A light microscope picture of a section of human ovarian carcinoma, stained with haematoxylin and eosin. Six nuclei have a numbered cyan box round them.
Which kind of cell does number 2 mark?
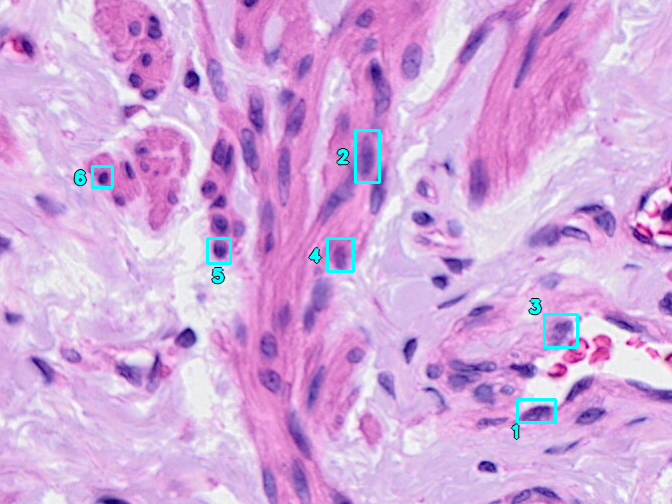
smooth muscle cell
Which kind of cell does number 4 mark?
smooth muscle cell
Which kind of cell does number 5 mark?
smooth muscle cell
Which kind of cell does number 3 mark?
endothelial cell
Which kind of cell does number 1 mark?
endothelial cell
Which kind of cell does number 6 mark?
smooth muscle cell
